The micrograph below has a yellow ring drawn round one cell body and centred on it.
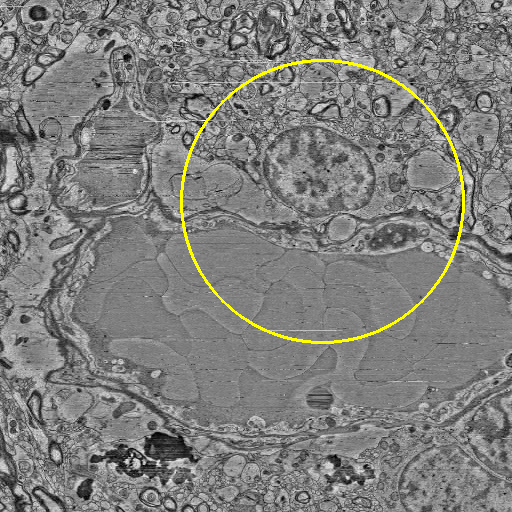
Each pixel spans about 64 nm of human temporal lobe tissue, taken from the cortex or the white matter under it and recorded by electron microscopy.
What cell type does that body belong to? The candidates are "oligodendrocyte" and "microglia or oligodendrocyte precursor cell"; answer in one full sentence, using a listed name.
This is an oligodendrocyte, the cell whose body lies at the centre of the ring.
